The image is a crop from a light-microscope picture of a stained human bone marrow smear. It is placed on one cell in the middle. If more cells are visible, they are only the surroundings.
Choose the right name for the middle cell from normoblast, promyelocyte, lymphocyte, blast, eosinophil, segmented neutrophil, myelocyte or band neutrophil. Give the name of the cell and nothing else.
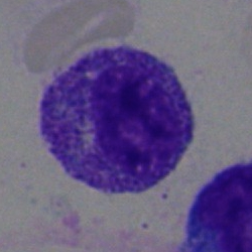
myelocyte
